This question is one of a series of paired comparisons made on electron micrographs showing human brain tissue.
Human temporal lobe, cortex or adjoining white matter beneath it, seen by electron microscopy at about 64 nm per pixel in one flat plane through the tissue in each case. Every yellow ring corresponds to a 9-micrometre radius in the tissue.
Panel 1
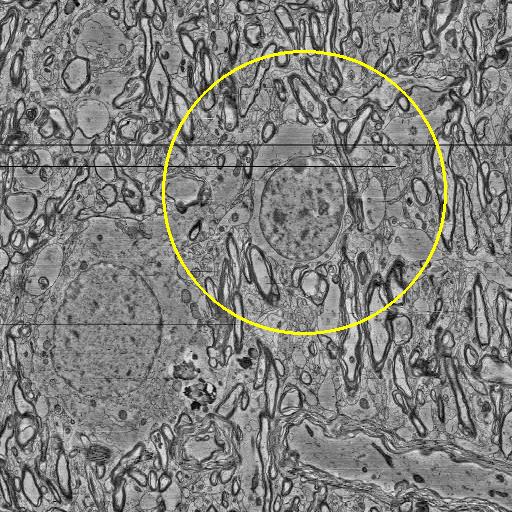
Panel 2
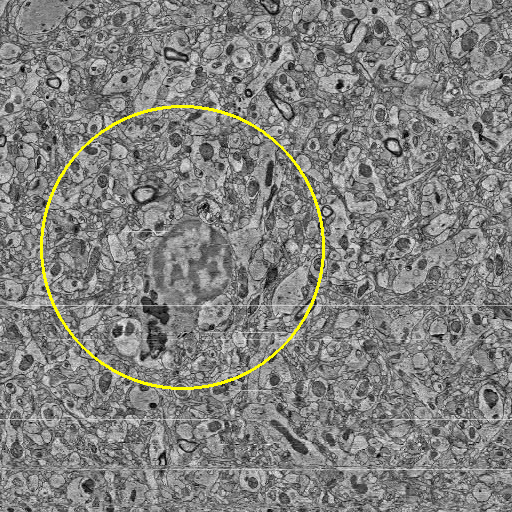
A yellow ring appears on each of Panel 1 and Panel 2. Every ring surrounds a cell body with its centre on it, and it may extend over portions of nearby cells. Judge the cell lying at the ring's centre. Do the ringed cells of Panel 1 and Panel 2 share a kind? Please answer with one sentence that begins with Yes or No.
No, the ring-centre cell in Panel 1 and the one in Panel 2 are of two kinds.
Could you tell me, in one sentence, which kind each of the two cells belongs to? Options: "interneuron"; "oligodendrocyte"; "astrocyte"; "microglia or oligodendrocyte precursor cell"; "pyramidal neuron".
At the centre of the first ring sits a microglial cell or oligodendrocyte precursor cell, and at the centre of the second sits an oligodendrocyte.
